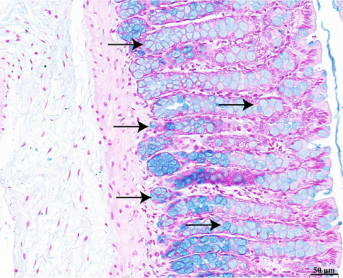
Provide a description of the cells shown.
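This is a section of colon wall with long straight crypts in the mucosa, crowded with goblet cells whose rounded mucus-filled cytoplasm stains blue. The goblet cells sit in stacks along each crypt between pink-stained epithelial cells, so the crypts look beaded with blue.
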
